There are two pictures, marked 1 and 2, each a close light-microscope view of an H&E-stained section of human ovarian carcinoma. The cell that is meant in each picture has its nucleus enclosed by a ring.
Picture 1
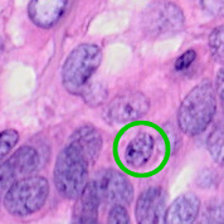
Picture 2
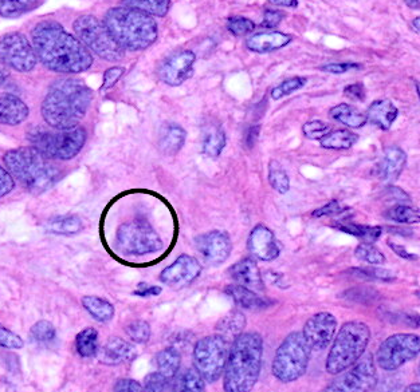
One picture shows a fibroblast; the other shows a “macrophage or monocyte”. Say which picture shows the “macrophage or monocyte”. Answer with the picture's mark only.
1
